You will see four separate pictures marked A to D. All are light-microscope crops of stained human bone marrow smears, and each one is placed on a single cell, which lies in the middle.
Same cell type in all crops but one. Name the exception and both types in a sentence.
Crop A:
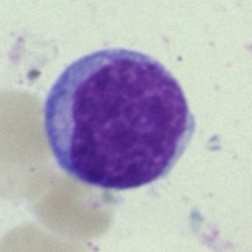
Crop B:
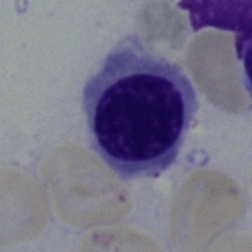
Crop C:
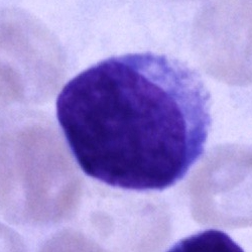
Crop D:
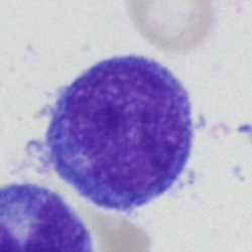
Crop B is an erythroblast, while the rest of the set consists of blasts.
